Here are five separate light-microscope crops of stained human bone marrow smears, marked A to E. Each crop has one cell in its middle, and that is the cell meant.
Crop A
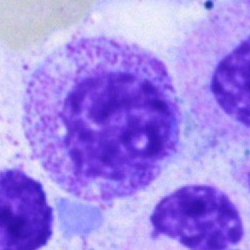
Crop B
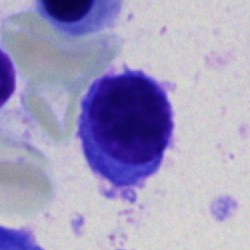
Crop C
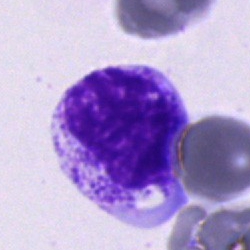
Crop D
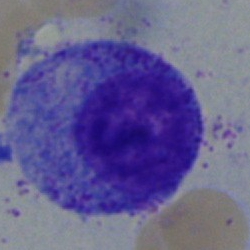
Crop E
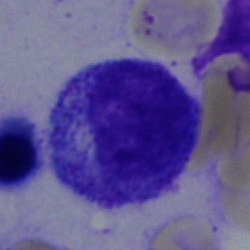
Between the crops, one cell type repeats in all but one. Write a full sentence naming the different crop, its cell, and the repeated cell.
Of all the crops, only crop B shows a plasma cell; the others show myelocytes.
